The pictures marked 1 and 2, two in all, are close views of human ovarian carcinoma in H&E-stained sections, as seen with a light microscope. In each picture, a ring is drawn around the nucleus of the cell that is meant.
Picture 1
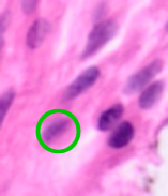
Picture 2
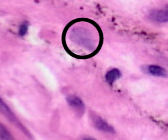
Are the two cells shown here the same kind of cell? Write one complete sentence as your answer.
Yes, they are the same type: both are fibroblasts.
